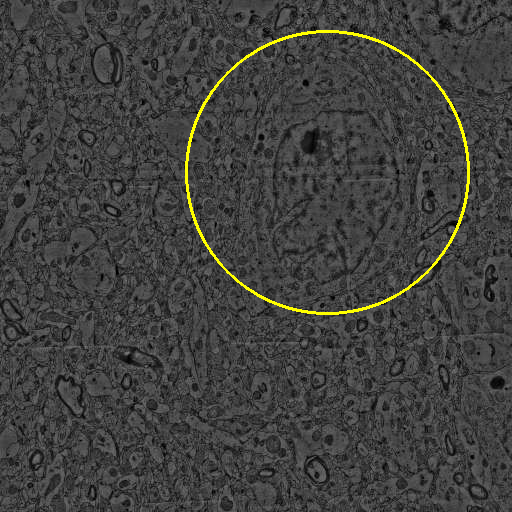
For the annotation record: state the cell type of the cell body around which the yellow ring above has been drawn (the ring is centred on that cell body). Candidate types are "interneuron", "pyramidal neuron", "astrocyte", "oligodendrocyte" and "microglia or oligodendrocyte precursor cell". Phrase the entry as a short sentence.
The ringed cell is an interneuron.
